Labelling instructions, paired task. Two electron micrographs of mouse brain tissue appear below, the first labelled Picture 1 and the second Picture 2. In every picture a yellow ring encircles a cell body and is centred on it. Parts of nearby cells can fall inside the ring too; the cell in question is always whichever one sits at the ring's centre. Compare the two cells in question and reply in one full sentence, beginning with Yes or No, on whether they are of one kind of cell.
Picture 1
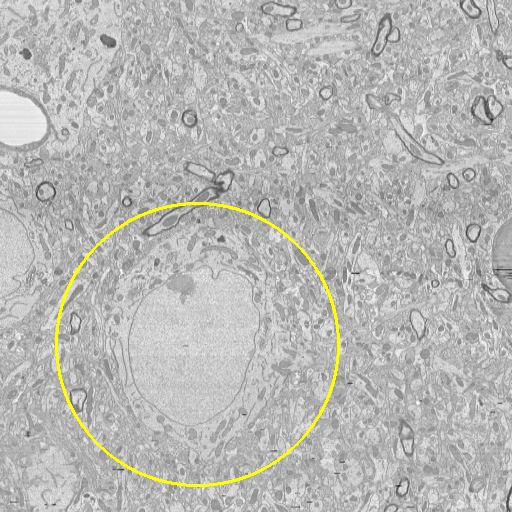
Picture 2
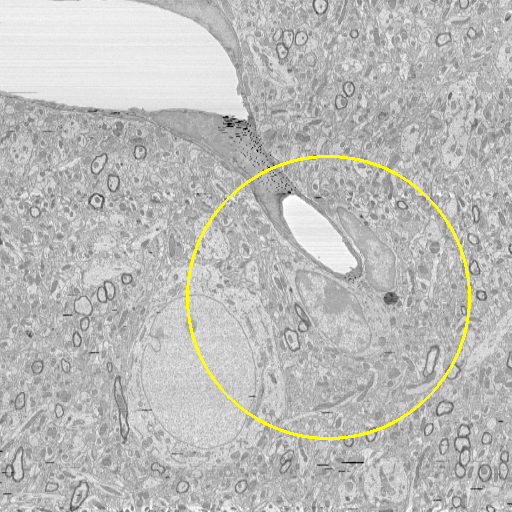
No, the two cells at the ring centres in Picture 1 and Picture 2 are of two kinds.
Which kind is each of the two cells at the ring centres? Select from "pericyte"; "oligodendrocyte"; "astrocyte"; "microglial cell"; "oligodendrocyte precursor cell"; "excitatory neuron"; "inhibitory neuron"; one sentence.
The cell at the centre of the ring is an excitatory neuron in the first picture and an oligodendrocyte in the second.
